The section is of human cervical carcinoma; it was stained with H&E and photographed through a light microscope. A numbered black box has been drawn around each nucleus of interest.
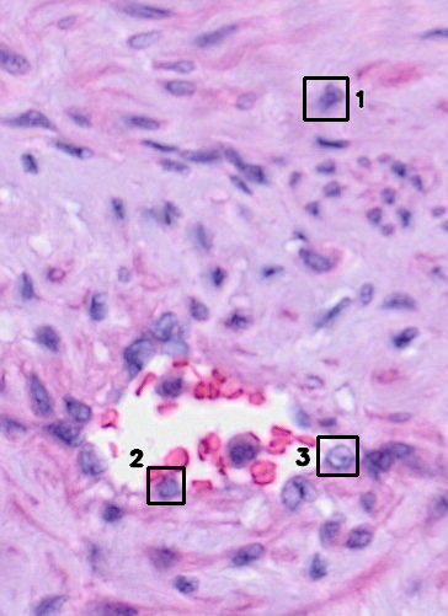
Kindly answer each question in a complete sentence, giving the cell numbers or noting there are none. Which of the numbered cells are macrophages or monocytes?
The marked and numbered cells comprise no macrophages or monocytes.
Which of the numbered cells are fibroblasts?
Among the numbered nuclei, only the one labelled 1 belongs to a fibroblast.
